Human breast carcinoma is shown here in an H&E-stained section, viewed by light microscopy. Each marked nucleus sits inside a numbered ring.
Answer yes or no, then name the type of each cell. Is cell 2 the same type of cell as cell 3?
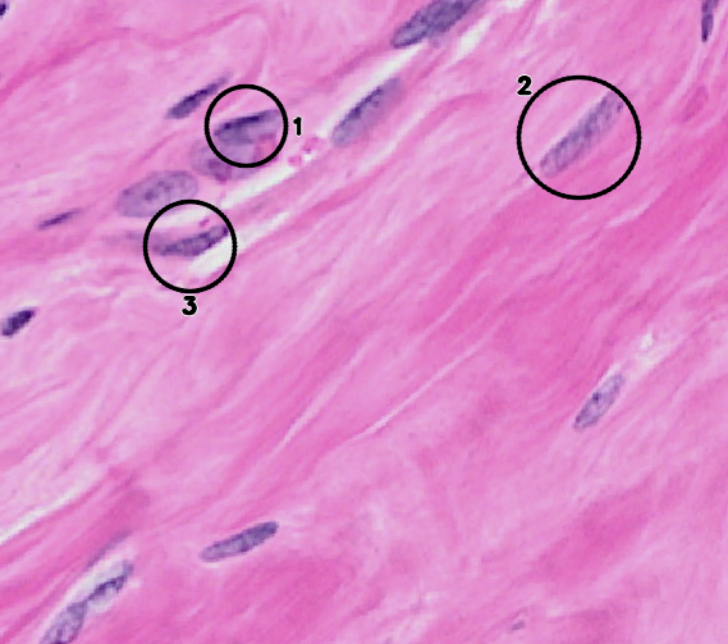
No, cell 2 is a fibroblast and cell 3 is an endothelial cell.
